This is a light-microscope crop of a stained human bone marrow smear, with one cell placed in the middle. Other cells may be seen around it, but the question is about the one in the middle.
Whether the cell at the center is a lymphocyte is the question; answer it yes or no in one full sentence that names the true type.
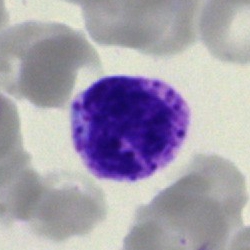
No, the cell in the middle of the crop counts as a basophil and not as a lymphocyte.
